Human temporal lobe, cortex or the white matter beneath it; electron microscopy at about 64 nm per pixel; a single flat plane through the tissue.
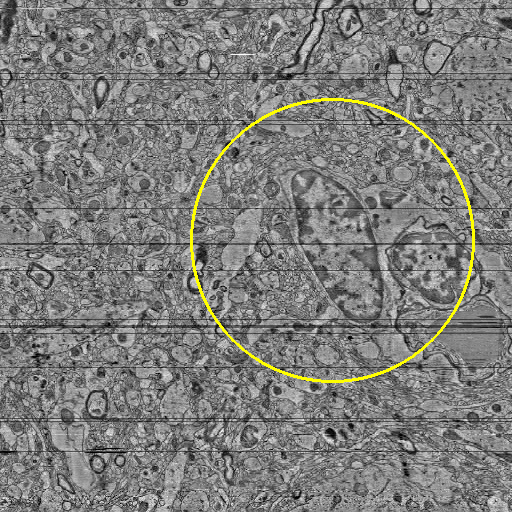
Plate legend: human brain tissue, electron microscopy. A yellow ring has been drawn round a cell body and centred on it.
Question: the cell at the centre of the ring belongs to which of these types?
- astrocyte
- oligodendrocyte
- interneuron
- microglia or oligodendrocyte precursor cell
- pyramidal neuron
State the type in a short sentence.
The cell in the middle of the ring is a microglial cell or oligodendrocyte precursor cell.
